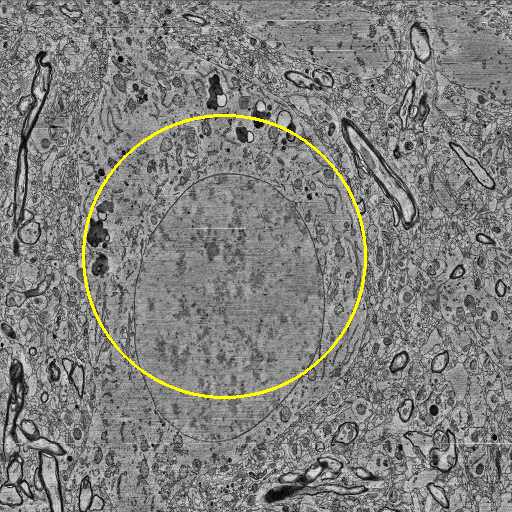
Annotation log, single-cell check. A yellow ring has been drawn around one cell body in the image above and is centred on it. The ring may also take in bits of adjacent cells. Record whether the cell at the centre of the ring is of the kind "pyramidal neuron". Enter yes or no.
yes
